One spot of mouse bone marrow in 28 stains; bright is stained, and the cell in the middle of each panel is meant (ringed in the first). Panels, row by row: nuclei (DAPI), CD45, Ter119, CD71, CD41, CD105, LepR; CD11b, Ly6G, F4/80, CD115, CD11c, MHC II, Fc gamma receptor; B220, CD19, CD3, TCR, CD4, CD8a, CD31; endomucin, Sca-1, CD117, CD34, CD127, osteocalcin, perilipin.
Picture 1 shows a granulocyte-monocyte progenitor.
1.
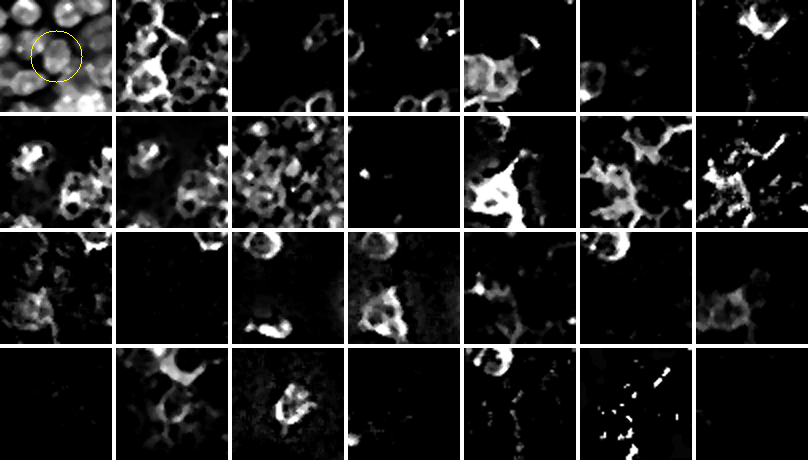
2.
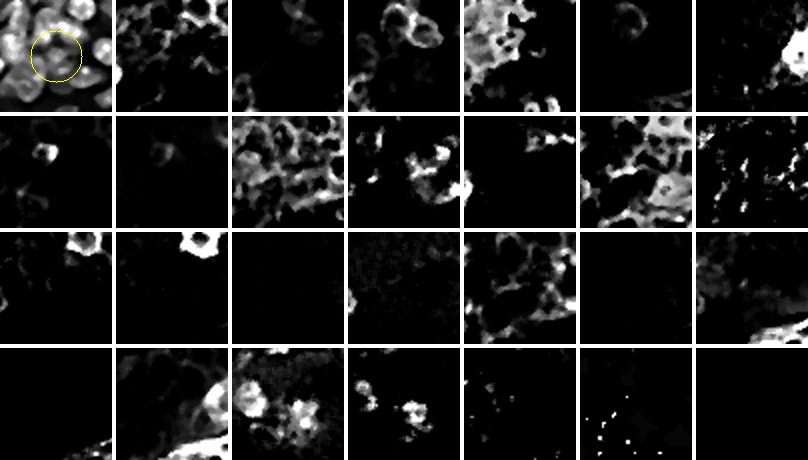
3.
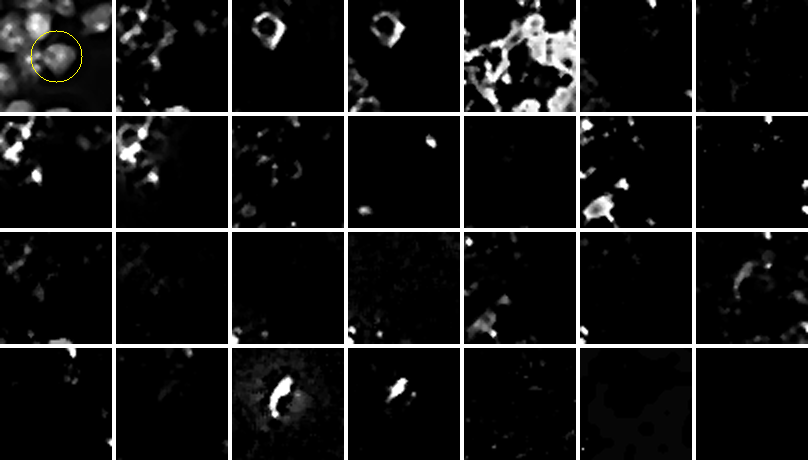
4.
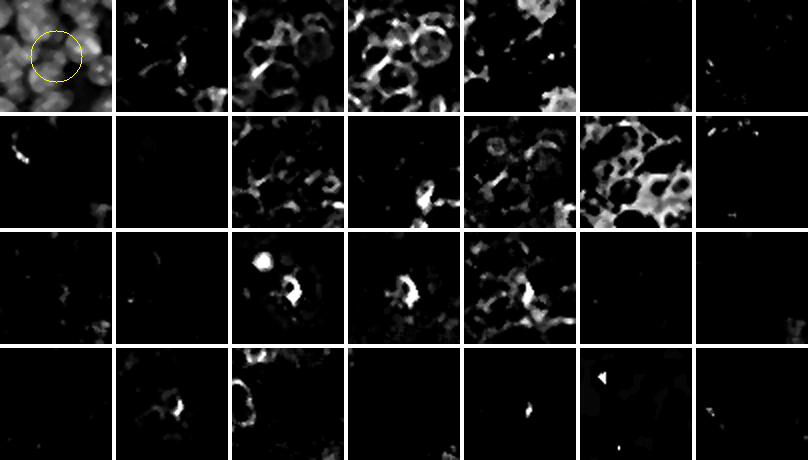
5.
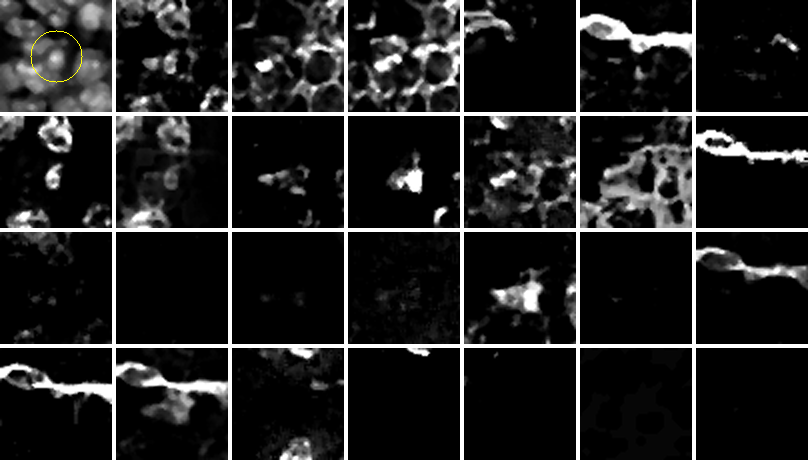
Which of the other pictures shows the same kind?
Picture 2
